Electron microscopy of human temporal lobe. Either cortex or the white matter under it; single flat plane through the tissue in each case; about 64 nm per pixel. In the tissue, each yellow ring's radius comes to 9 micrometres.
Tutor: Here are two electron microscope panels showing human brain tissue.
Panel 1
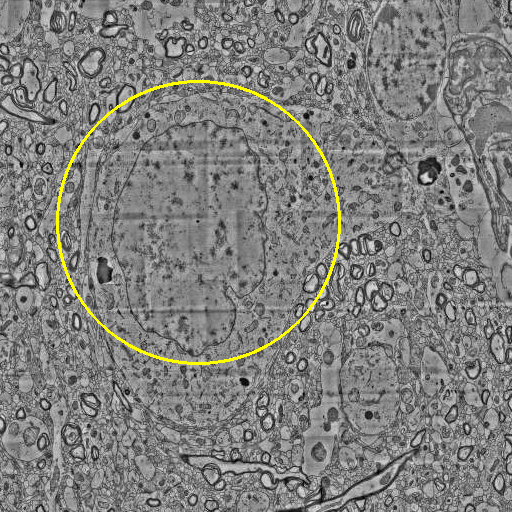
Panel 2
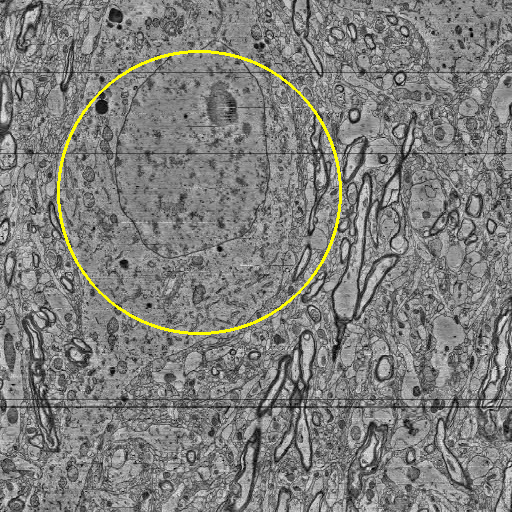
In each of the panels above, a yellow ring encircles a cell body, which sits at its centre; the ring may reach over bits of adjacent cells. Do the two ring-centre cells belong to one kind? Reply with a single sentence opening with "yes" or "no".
Yes, the two cells sitting at the ring centres in the panels belong to one kind.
